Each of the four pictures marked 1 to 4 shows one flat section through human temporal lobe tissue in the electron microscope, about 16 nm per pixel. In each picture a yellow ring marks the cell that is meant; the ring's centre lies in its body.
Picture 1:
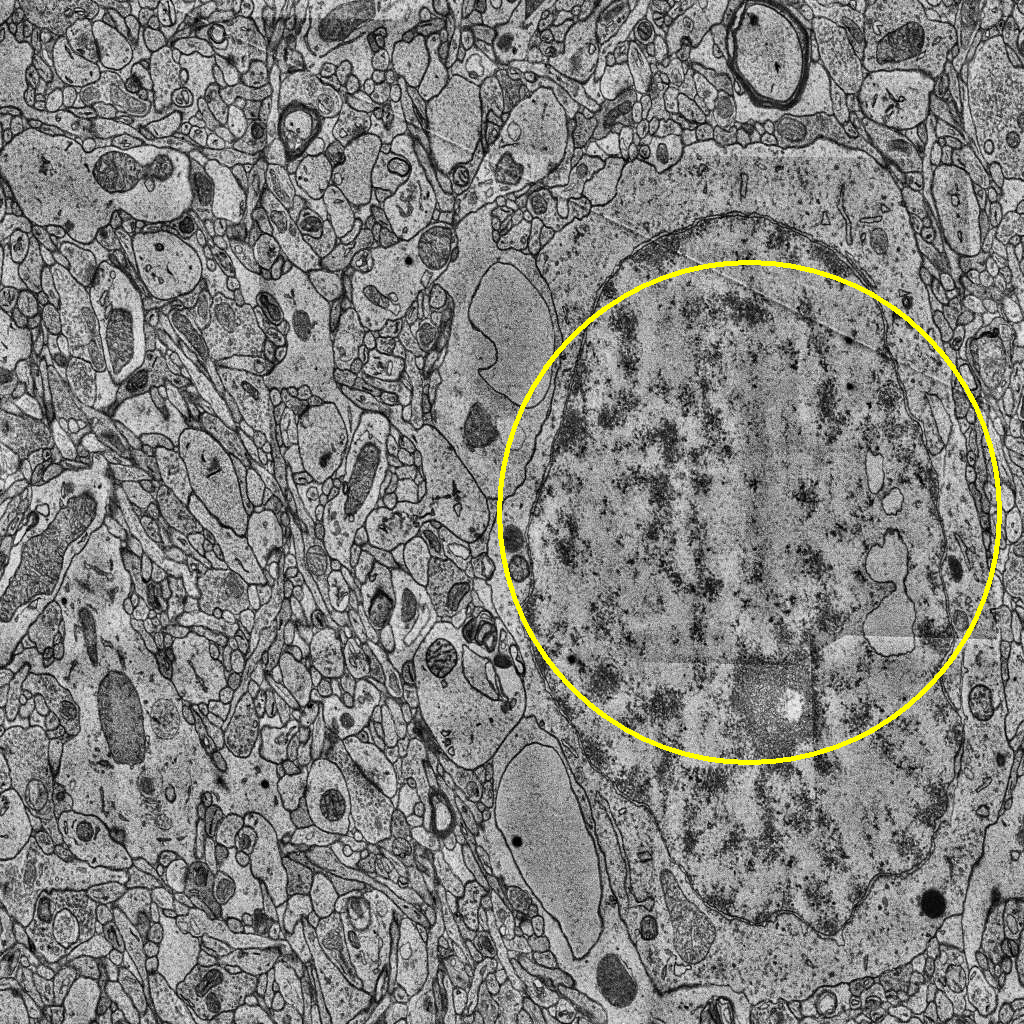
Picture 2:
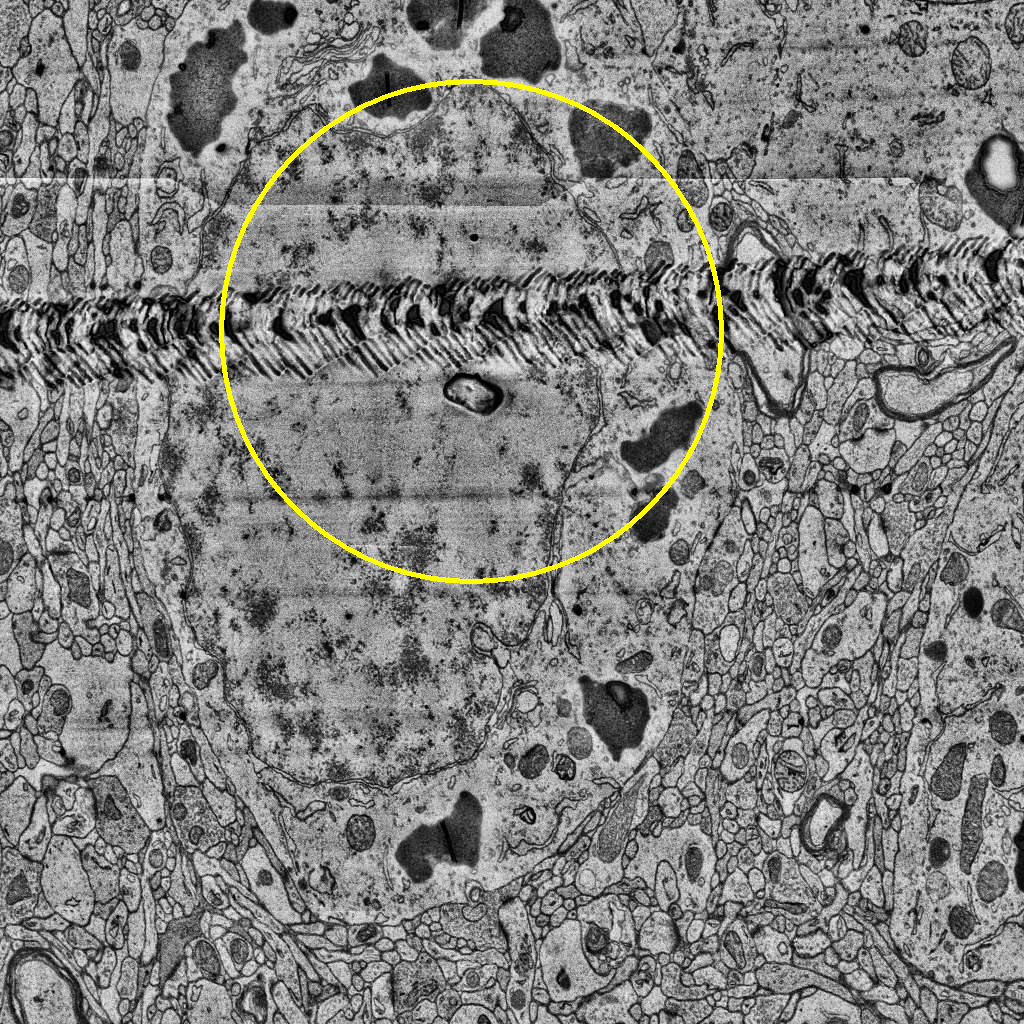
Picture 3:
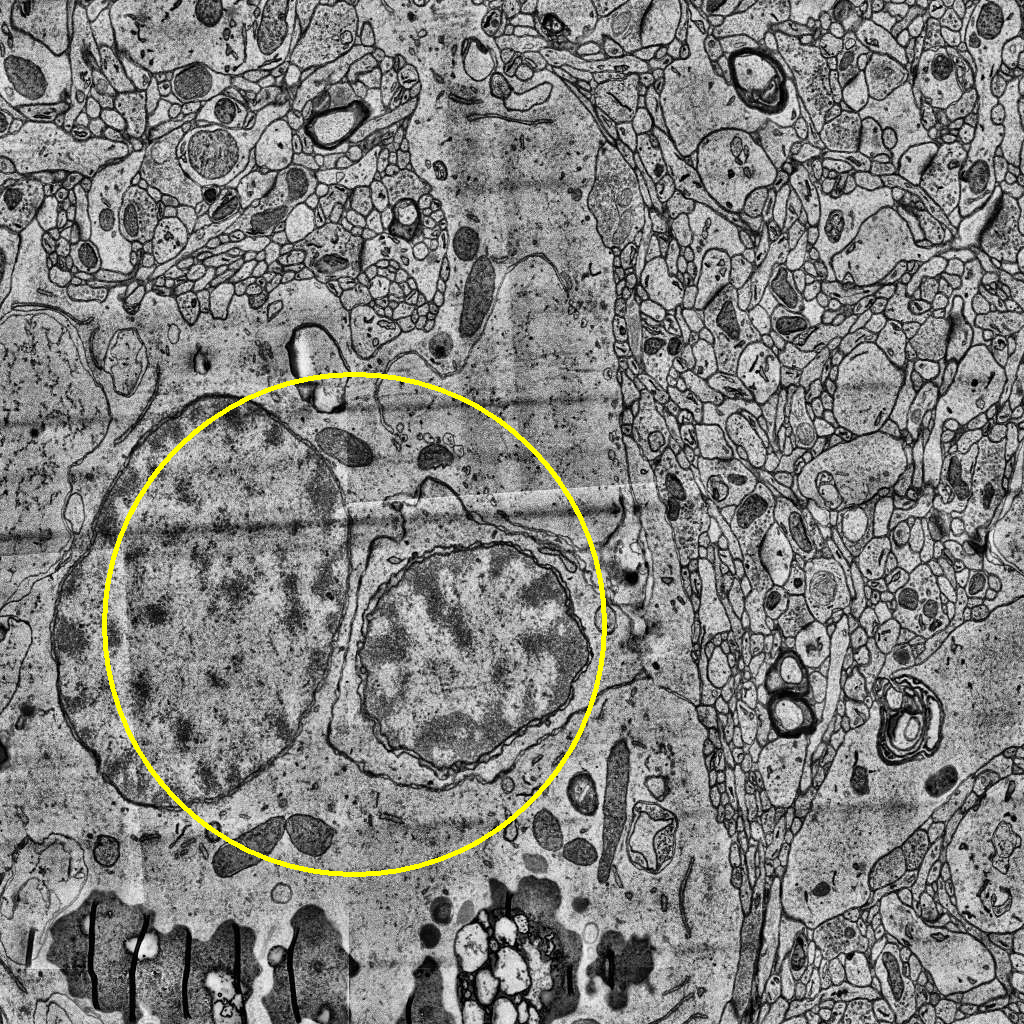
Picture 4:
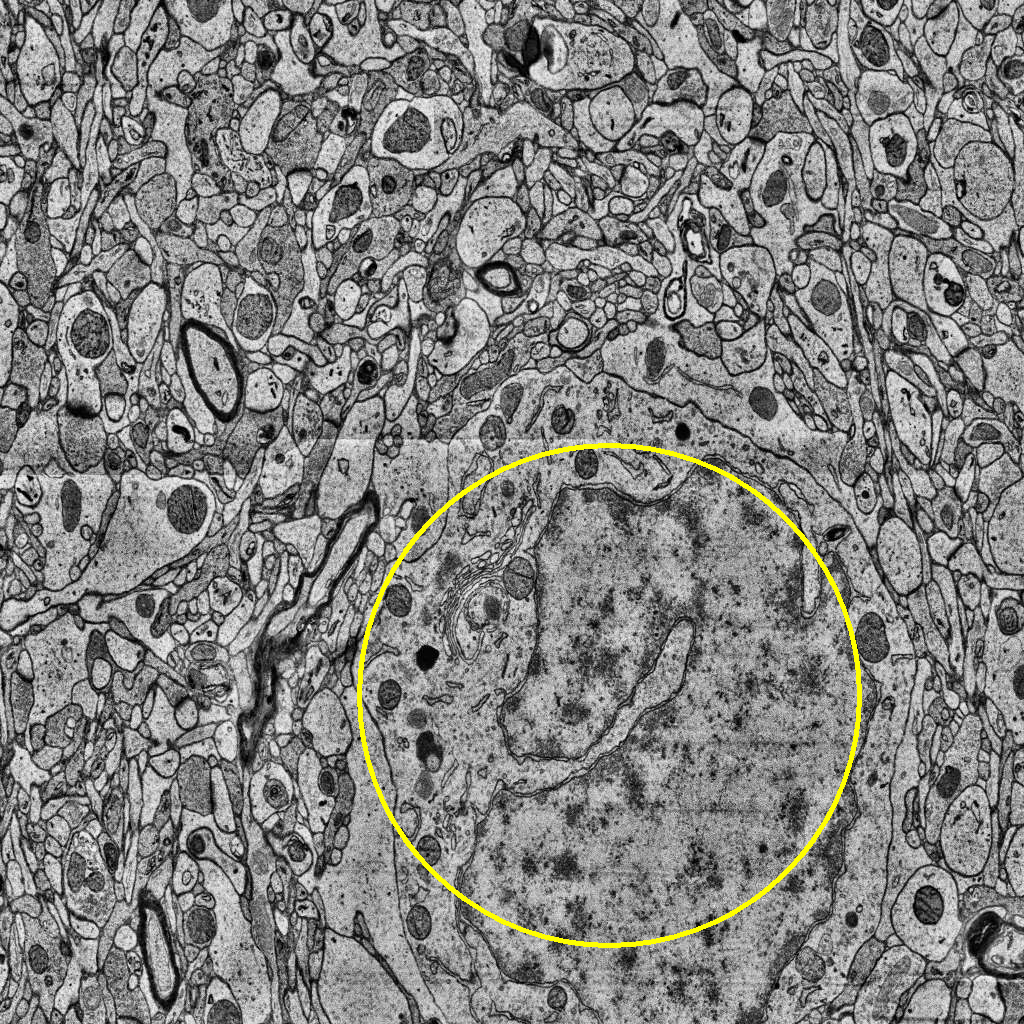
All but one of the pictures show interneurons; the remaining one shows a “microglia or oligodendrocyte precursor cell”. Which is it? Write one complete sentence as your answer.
The cell in picture 3 is the “microglia or oligodendrocyte precursor cell”.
